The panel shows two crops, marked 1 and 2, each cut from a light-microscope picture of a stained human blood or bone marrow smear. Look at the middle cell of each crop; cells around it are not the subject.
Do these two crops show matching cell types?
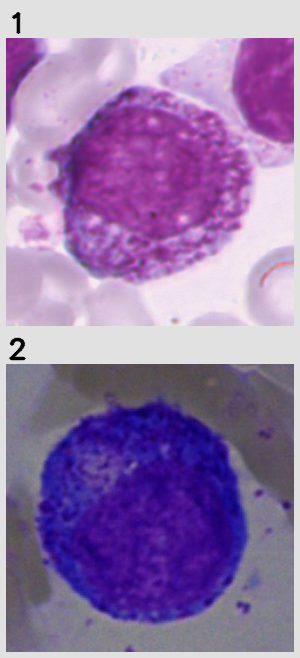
yes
